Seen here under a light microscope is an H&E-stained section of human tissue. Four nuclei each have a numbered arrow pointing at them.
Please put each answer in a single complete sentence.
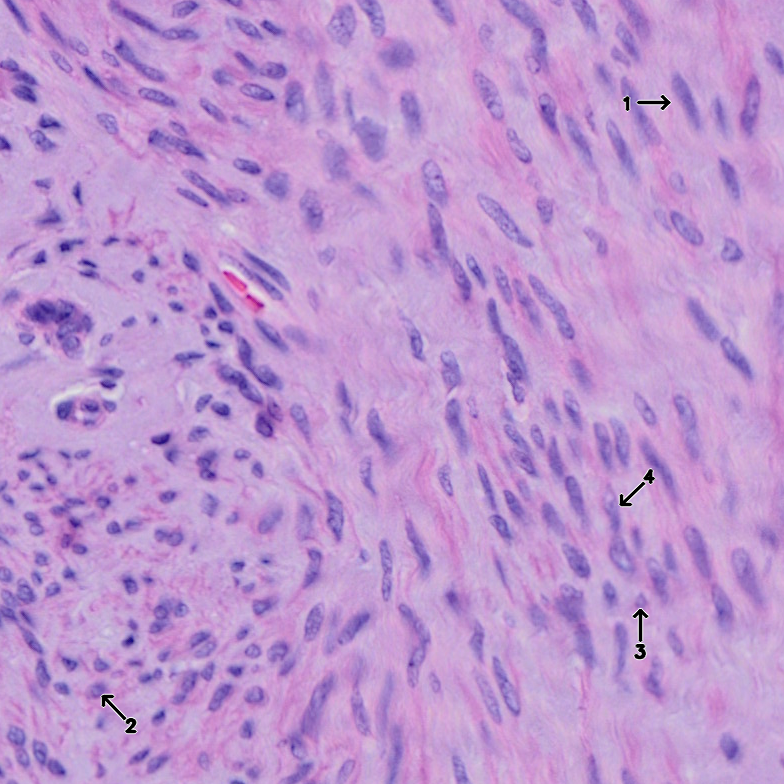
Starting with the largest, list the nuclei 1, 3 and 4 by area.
From largest to smallest, the order is 1, 4, 3.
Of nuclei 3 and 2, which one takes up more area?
It is nucleus 2, which covers about 2 times the area of nucleus 3.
